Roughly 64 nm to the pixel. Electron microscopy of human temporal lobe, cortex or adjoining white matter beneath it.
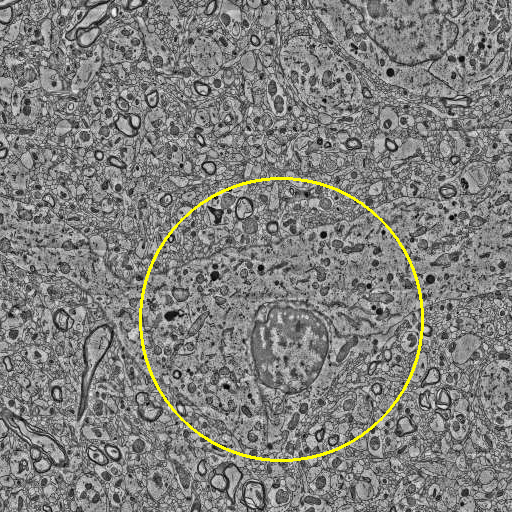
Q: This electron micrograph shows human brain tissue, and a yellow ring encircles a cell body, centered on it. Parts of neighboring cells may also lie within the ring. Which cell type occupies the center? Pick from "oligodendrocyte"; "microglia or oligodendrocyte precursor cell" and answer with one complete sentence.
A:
What sits at the ring's center in this micrograph is a microglial cell or oligodendrocyte precursor cell, among those choices.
